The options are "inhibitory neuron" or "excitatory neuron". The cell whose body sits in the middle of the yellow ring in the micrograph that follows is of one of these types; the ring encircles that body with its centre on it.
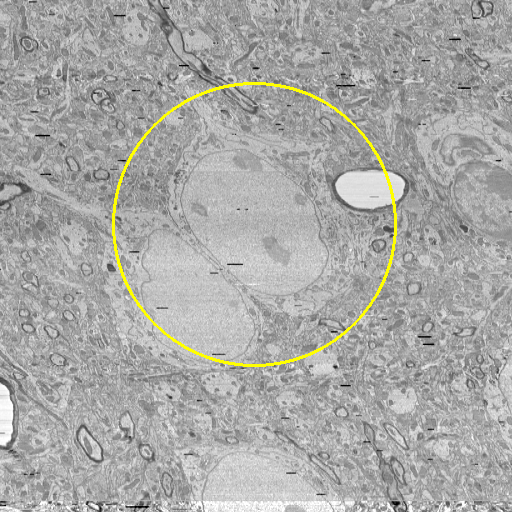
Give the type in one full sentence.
Going by the micrograph, the cell centred in the yellow ring is an excitatory neuron.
